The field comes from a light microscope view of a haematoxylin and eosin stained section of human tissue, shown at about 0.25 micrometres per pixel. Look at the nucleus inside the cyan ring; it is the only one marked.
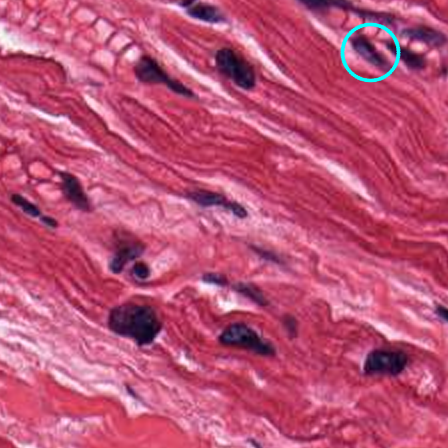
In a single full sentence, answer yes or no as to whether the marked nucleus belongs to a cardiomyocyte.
No, the marked nucleus does not come from a cardiomyocyte but from a supporting cell.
